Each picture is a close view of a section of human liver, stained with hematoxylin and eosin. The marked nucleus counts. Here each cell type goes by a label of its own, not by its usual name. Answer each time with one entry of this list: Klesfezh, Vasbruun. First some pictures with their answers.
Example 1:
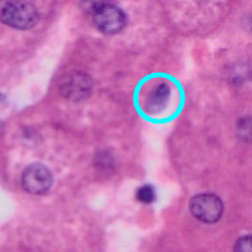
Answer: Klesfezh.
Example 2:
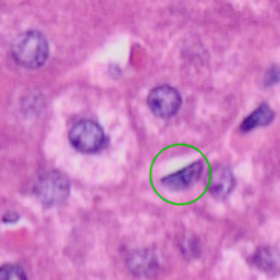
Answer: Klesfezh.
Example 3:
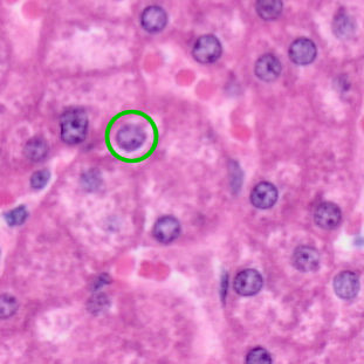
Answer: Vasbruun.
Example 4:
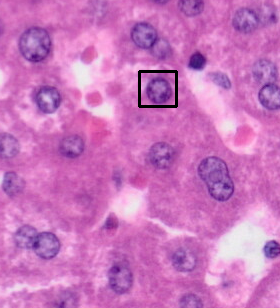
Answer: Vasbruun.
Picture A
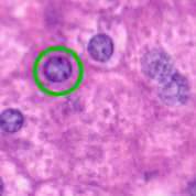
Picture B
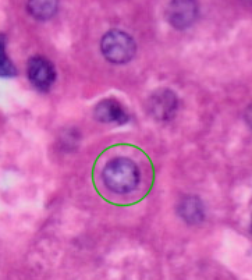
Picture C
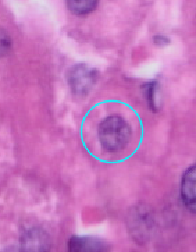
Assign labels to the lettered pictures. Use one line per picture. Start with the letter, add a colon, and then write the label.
A: Vasbruun.
B: Vasbruun.
C: Vasbruun.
